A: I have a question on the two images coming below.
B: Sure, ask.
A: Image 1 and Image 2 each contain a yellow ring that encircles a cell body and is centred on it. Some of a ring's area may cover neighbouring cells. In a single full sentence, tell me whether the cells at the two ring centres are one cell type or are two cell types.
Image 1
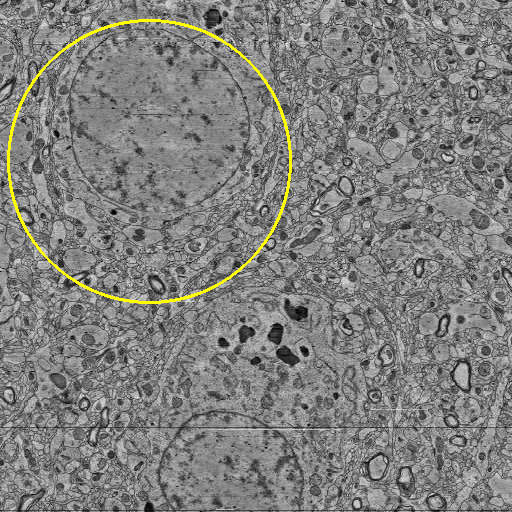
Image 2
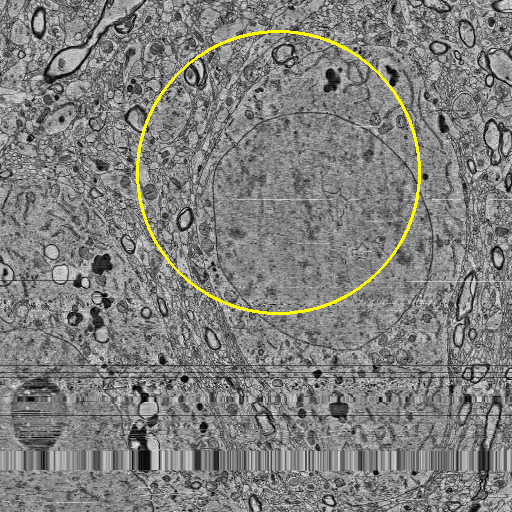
As for the ring-centre cells, the one in Image 1 and the one in Image 2 are one cell type.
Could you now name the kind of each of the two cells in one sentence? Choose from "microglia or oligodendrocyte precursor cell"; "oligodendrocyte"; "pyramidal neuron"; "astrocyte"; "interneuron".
Each one of the two ringed cells is a pyramidal neuron.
